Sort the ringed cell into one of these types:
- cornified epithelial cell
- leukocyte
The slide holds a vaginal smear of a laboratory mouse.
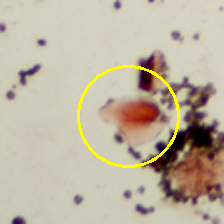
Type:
cornified epithelial cell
